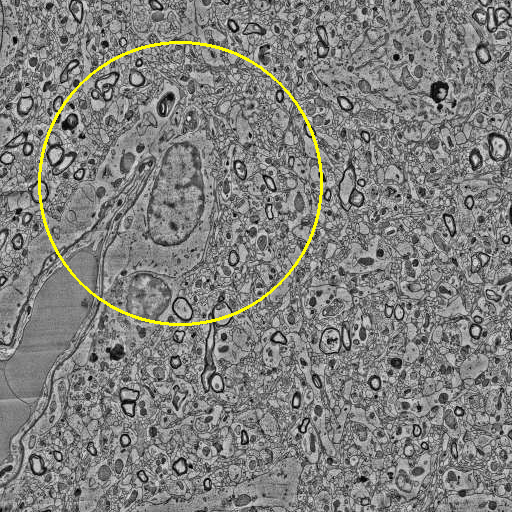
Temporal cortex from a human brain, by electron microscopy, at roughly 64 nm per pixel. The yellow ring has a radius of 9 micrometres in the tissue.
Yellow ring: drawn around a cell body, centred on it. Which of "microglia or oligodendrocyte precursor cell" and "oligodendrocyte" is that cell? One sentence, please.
That cell body is from a microglial cell or oligodendrocyte precursor cell.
